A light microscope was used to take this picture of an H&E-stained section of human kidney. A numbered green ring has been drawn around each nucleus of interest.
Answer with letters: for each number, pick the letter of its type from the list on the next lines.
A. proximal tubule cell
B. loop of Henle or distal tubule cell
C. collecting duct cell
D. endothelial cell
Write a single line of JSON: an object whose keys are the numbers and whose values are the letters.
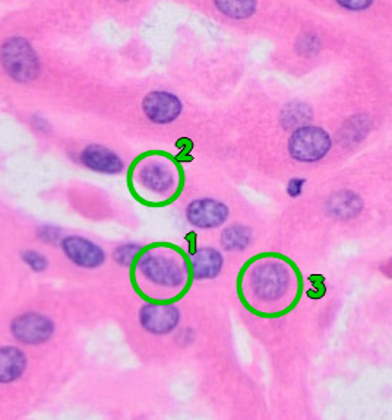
{"1": "C", "2": "C", "3": "A"}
